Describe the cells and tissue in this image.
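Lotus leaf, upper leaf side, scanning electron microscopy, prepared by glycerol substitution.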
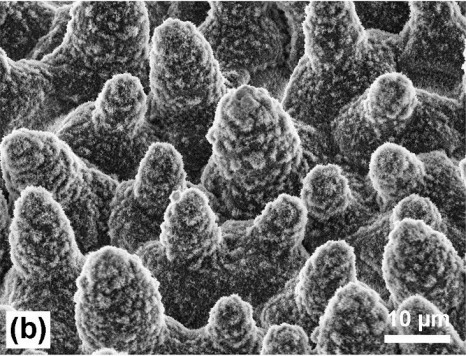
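The papillae stand close together at varying heights and have rounded tips. Their surfaces, and the ground between them, are covered by a fine, granular to fuzzy coating of wax. This gives the surface a two-level roughness: large papillae carrying much smaller surface features.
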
